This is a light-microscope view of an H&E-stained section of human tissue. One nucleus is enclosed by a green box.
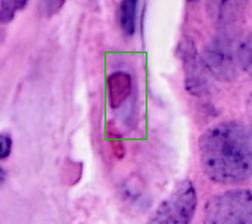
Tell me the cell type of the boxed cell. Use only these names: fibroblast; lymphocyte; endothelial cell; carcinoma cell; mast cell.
endothelial cell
